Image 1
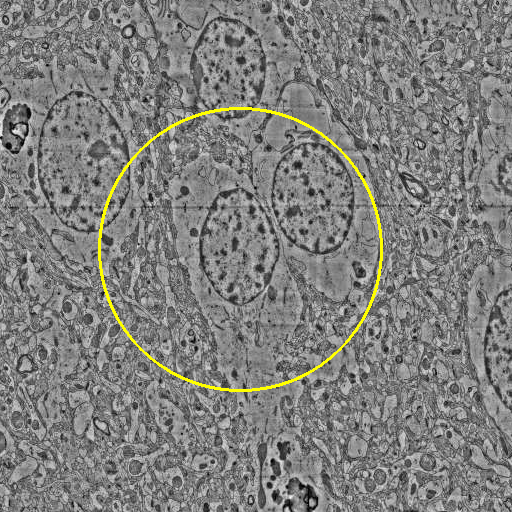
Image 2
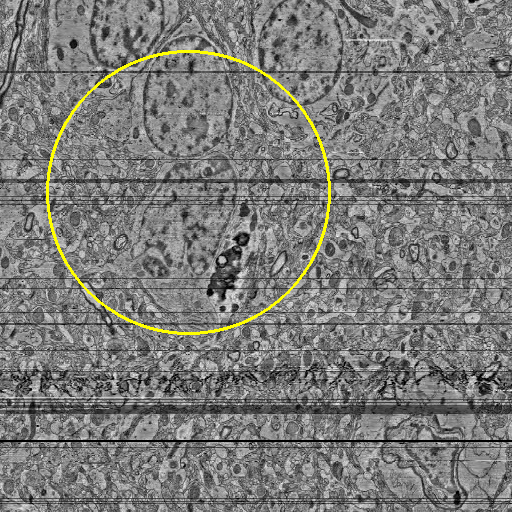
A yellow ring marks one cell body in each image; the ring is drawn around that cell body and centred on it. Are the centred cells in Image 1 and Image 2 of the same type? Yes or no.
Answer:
no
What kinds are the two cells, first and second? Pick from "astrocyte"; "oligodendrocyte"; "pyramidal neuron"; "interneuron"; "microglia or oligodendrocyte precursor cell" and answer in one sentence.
The second picture holds a microglial cell or oligodendrocyte precursor cell in its ring, and the first holds an astrocyte.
